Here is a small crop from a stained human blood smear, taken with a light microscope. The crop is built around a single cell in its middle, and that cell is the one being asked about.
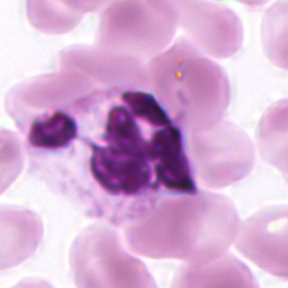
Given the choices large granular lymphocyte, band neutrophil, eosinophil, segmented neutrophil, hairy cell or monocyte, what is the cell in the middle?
segmented neutrophil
